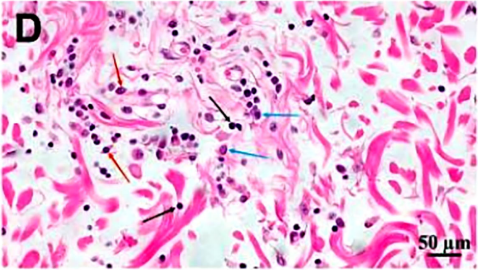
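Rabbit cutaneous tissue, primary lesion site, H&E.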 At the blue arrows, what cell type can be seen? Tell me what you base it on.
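Larger cells with paler nuclei than the small dark round cells. The answer: macrophage.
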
